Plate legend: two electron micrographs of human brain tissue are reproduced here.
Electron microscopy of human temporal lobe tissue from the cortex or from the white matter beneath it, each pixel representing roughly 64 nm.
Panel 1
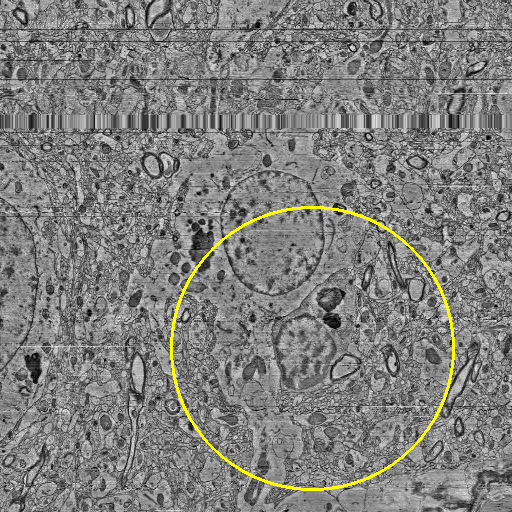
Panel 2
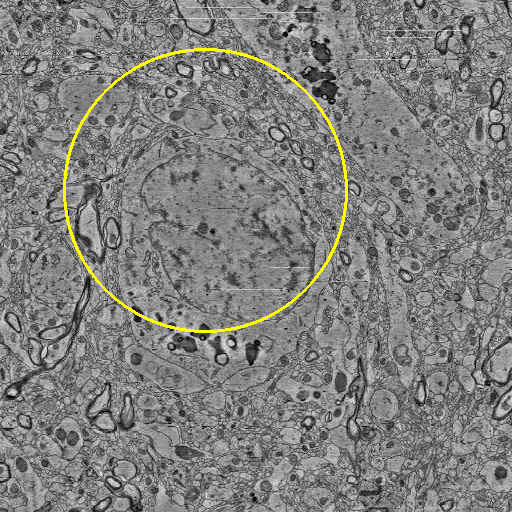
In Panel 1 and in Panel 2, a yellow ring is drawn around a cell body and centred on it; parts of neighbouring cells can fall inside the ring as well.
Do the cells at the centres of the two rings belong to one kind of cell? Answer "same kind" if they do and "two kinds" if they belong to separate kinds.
two kinds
